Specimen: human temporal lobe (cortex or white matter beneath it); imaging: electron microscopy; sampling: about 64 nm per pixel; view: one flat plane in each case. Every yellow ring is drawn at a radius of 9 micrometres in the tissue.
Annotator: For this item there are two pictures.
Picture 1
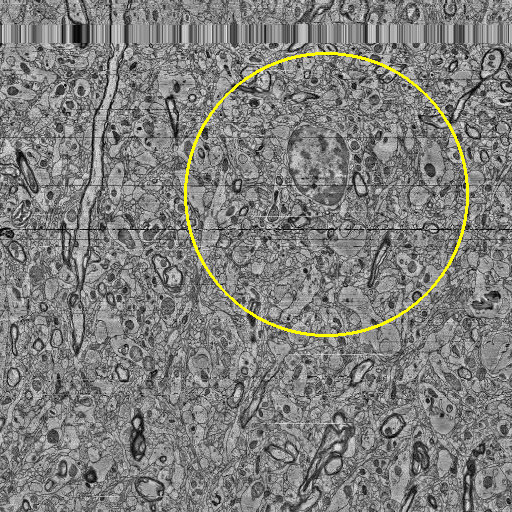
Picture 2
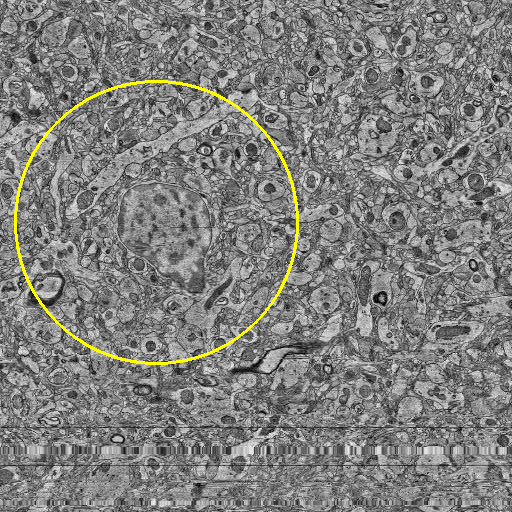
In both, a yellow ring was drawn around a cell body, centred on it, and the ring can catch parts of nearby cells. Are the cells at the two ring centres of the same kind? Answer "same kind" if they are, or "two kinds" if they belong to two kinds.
same kind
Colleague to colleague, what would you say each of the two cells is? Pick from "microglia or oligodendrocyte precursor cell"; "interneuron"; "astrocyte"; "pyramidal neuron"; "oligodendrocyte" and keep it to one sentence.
Both rings mark a microglial cell or oligodendrocyte precursor cell, one in each picture.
